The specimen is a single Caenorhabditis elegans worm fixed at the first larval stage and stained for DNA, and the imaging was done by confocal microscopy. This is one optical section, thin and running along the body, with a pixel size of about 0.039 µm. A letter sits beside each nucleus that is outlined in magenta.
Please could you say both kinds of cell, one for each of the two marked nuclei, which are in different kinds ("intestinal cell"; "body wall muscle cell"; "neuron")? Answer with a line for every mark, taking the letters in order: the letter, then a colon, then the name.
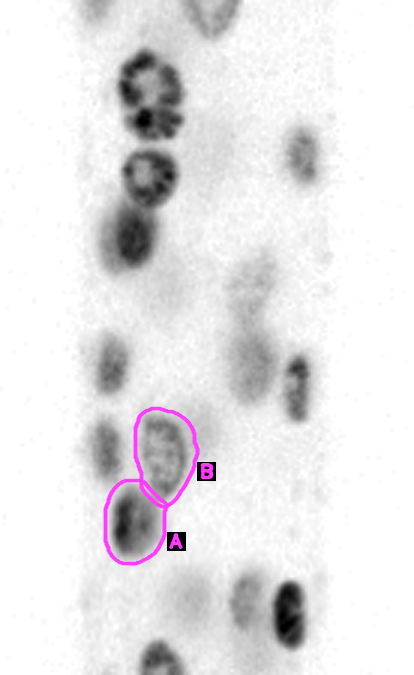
A: body wall muscle cell
B: intestinal cell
